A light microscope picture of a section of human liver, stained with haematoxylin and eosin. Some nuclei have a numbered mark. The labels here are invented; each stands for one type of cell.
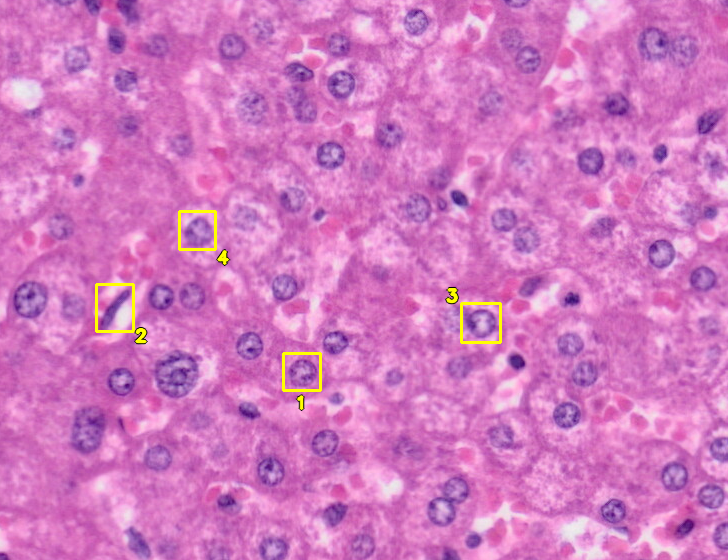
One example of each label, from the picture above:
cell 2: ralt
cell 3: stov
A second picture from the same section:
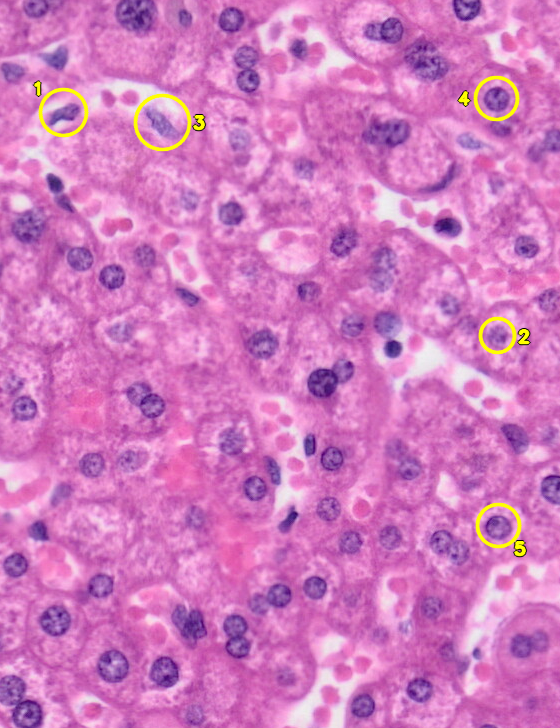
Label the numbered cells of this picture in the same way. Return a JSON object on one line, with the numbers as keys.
{"1": "ralt", "2": "stov", "3": "ralt", "4": "stov", "5": "stov"}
